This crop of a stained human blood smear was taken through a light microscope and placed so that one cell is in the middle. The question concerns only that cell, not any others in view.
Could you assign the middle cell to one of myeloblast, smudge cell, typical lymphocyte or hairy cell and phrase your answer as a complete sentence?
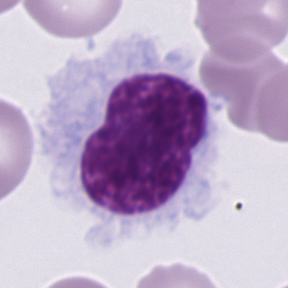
As for the cell in the middle, it is a hairy cell.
